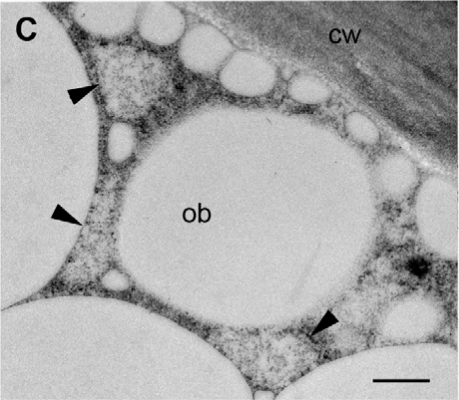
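Large, round, pale oil bodies of various sizes crowd the cell, and a row of smaller ones lines the wall. Between them runs a thin band of dark, dense cytoplasm.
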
